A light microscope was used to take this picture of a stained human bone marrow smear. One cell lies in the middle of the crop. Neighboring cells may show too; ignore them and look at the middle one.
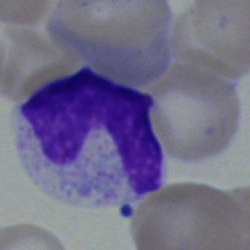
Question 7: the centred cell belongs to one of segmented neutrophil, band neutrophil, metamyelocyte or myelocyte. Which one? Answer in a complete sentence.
As for the central cell, it is a band neutrophil.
